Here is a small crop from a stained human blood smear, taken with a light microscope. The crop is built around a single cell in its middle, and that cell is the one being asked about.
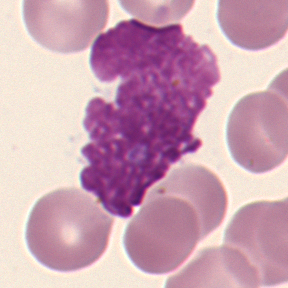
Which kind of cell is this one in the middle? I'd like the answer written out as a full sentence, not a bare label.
In the center of this field lies a smudge cell.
